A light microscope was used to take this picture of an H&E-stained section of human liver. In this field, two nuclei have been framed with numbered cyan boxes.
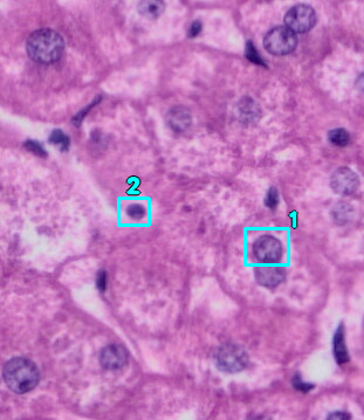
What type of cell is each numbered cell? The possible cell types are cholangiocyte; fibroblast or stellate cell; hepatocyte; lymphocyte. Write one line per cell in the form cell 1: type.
cell 1: hepatocyte
cell 2: lymphocyte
